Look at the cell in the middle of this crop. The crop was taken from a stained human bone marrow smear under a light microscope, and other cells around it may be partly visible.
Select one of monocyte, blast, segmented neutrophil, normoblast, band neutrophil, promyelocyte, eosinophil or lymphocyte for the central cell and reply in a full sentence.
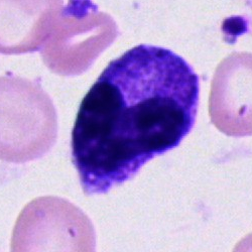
The cell at the heart of this crop is a band neutrophil.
